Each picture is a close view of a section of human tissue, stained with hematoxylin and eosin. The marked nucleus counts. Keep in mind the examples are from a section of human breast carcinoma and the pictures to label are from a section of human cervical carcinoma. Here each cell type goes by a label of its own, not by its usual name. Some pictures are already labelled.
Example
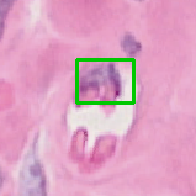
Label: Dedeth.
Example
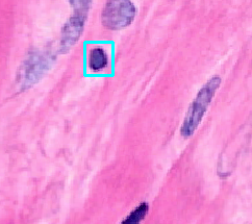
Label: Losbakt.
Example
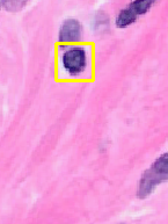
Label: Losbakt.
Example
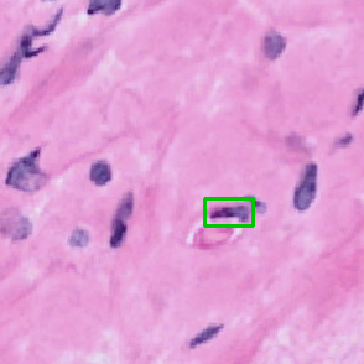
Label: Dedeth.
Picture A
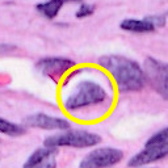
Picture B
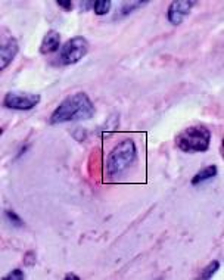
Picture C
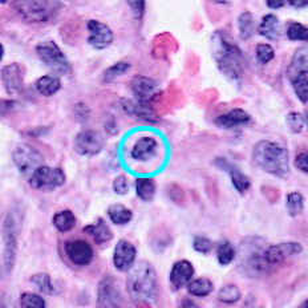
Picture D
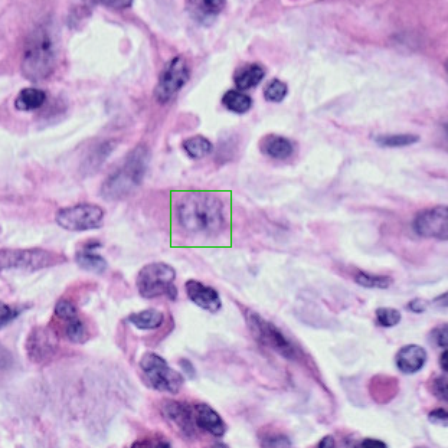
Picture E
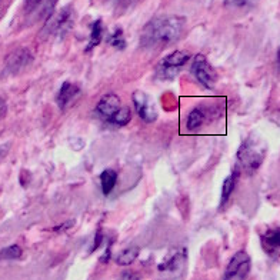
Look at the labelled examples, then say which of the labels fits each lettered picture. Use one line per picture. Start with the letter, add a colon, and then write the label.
A: Dedeth.
B: Dedeth.
C: Losbakt.
D: Dedeth.
E: Dedeth.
